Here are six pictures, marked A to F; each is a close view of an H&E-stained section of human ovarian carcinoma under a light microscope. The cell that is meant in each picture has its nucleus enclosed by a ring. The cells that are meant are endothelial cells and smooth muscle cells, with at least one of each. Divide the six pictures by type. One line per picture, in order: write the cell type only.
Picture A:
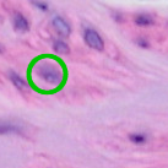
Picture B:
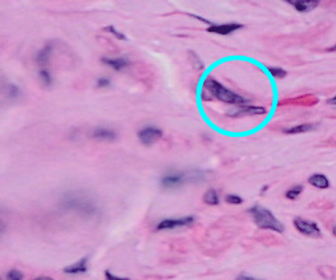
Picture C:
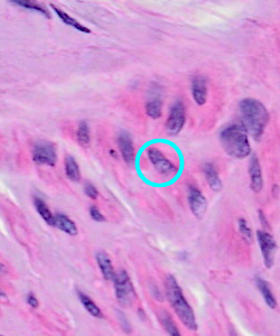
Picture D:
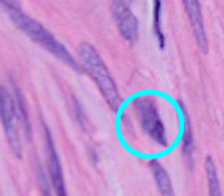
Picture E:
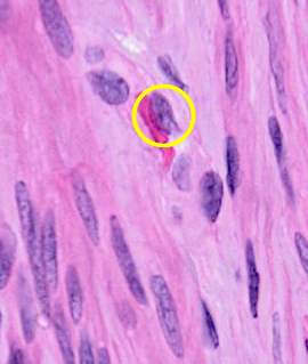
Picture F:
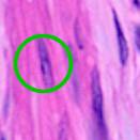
smooth muscle cell
endothelial cell
smooth muscle cell
smooth muscle cell
endothelial cell
smooth muscle cell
